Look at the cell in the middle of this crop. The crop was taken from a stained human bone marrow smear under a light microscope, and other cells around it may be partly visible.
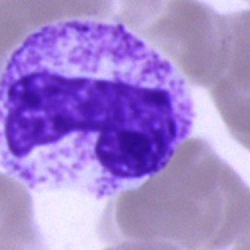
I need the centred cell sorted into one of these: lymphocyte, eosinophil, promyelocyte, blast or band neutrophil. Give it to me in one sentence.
The cell positioned in the middle of the field is a band neutrophil.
